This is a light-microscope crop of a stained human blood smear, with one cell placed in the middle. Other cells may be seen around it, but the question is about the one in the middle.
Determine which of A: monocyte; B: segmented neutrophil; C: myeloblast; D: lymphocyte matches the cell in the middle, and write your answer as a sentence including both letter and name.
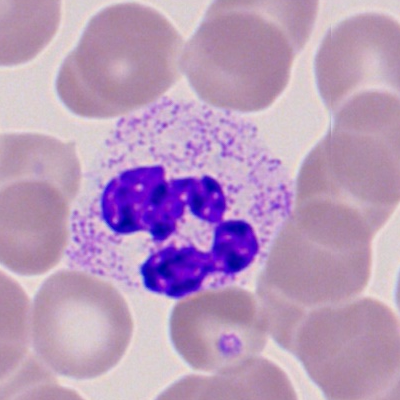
In this crop the middle cell is a segmented neutrophil, so option B is the correct answer.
